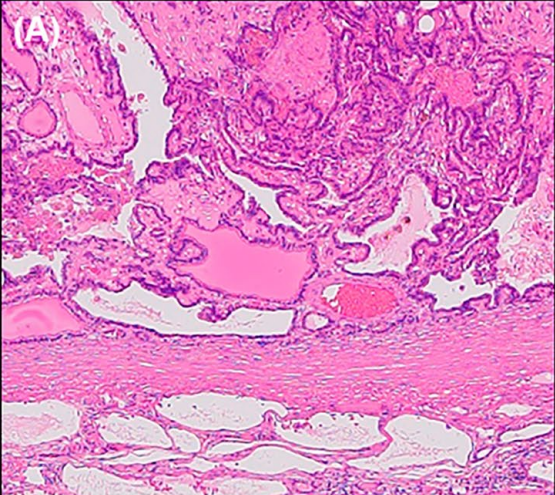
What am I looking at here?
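At low power the tumor forms branching papillary fronds, each a slender core of pale fibrous tissue and small blood vessels covered by a single layer of epithelial cells. Between the fronds lie cystic spaces, some filled with smooth pink fluid and one with red blood cells. A band of dense pink fibrous tissue runs across below, and beneath it lie many rounded, dilated spaces lined by flat cells.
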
